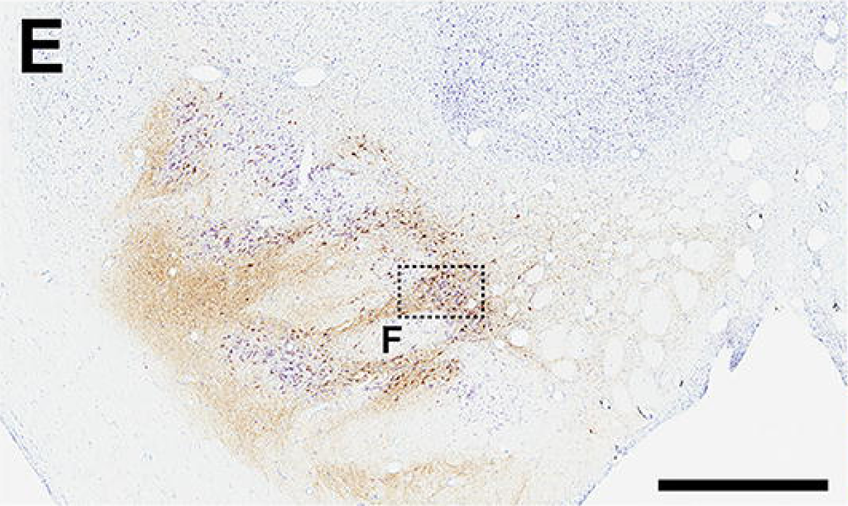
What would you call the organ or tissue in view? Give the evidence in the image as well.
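Substantia nigra. A band of purple-stained large cells and brown staining curves across the ventral midbrain of one side. Paler fibre territory lies beside the band.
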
